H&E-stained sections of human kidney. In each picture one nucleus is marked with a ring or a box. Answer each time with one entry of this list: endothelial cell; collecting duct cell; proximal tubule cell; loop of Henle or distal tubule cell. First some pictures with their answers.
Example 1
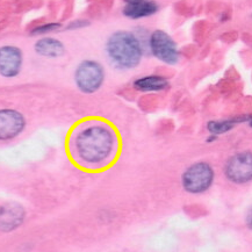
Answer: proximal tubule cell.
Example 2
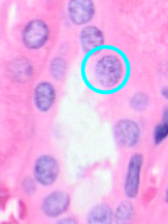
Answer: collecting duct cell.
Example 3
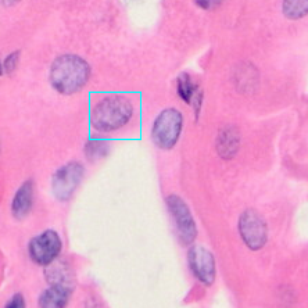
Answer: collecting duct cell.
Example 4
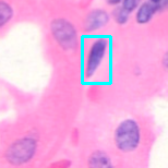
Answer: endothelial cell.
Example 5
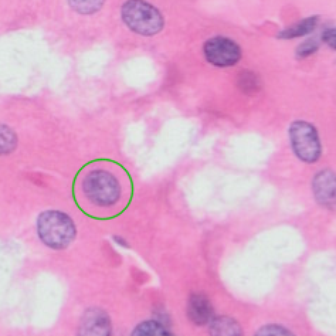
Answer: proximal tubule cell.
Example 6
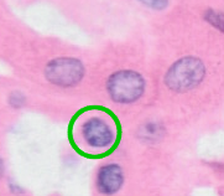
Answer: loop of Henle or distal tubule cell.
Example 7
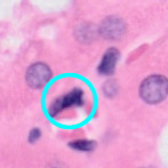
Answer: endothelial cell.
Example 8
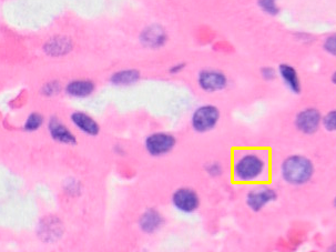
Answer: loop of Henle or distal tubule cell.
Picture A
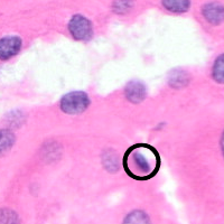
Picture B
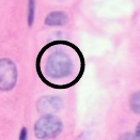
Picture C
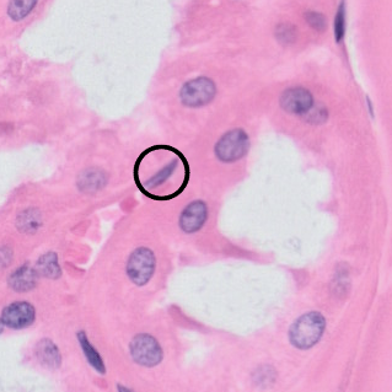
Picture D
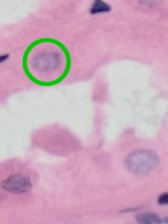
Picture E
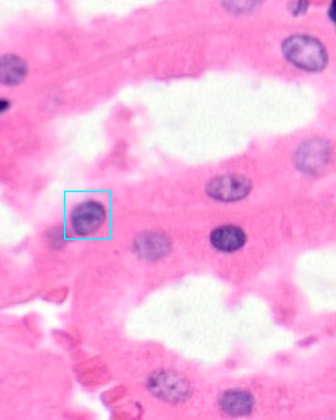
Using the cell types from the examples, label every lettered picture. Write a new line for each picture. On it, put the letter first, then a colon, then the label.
A: endothelial cell.
B: collecting duct cell.
C: endothelial cell.
D: proximal tubule cell.
E: proximal tubule cell.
